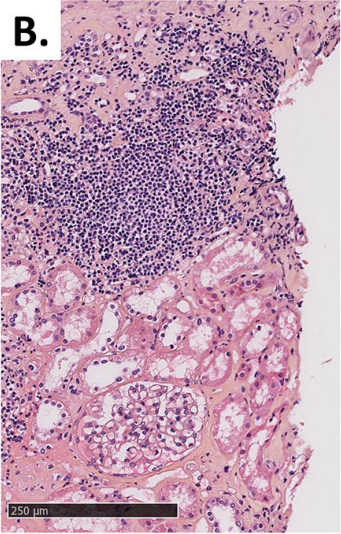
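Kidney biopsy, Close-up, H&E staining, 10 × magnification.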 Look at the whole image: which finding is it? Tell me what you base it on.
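A dense sheet of small cells with round, dark nuclei and scant cytoplasm. The sheet lies among renal tubules, with a glomerulus below it.
Lymphoid infiltrates.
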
